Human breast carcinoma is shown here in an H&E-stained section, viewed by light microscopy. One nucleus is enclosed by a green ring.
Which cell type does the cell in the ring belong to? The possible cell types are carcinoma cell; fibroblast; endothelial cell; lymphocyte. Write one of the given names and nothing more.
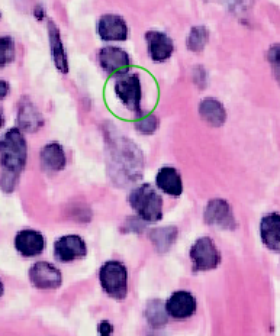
lymphocyte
